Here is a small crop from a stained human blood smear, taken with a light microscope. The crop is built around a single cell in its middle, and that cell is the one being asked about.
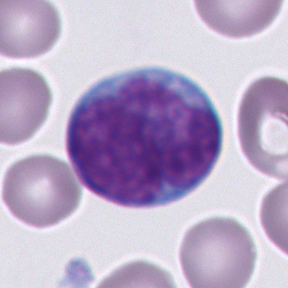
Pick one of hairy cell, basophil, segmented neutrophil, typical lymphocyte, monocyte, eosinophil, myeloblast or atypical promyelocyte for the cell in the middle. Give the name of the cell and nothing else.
myeloblast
